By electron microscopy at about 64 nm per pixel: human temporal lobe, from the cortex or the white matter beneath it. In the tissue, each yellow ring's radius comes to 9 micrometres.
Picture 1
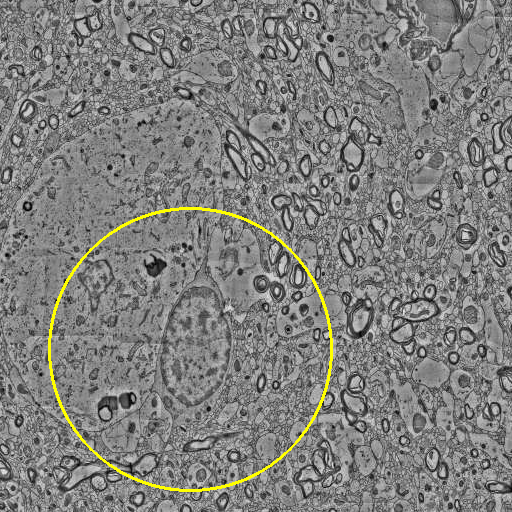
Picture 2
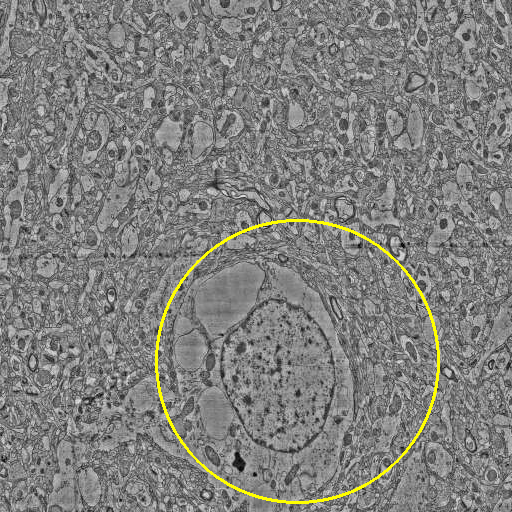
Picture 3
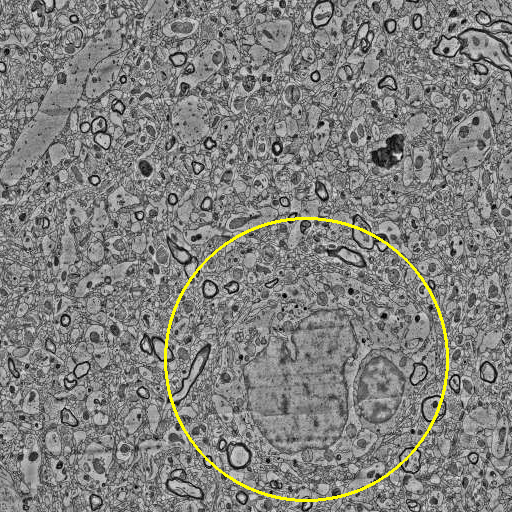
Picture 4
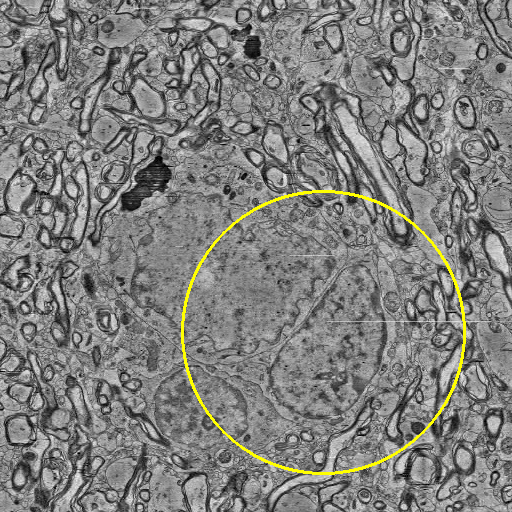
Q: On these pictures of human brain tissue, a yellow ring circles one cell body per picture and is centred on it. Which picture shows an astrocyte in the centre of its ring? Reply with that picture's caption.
Picture 2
